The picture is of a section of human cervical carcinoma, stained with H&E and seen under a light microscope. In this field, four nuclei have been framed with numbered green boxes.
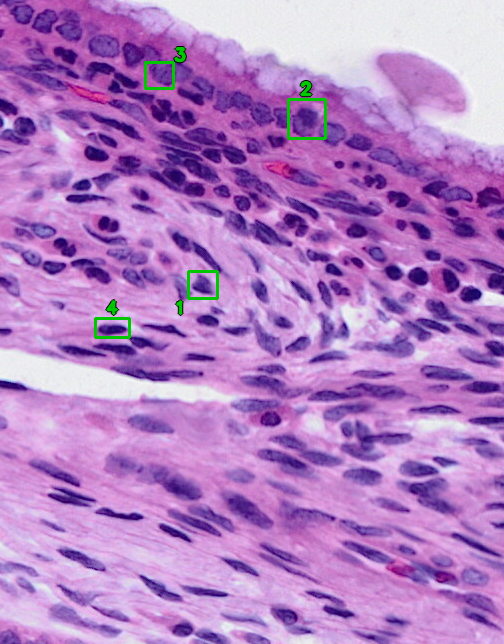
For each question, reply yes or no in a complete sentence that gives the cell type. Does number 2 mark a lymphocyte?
No, number 2 belongs to a secretory epithelial cell, not to a lymphocyte.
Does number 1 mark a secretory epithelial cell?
No, the cell under number 1 is a fibroblast, not a secretory epithelial cell.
